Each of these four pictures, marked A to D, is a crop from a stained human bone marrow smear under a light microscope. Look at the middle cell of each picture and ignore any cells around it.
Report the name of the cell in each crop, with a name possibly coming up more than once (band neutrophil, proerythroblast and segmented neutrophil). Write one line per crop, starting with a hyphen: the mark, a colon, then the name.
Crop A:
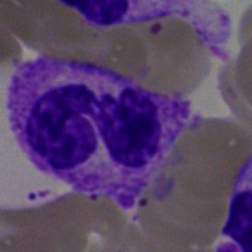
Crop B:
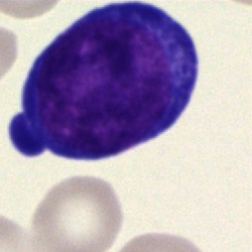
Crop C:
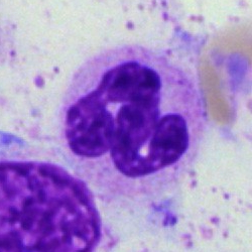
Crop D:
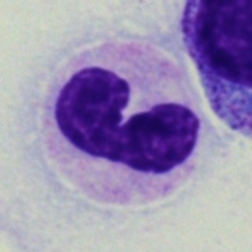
- A: segmented neutrophil
- B: proerythroblast
- C: segmented neutrophil
- D: band neutrophil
